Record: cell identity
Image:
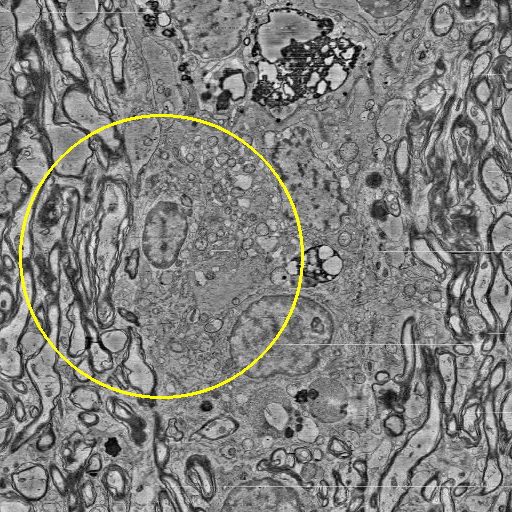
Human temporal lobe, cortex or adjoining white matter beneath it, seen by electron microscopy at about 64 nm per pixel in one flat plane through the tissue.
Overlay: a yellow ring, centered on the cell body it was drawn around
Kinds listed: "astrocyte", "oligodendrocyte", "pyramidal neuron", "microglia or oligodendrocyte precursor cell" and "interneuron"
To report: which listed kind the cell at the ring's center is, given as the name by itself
microglia or oligodendrocyte precursor cell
